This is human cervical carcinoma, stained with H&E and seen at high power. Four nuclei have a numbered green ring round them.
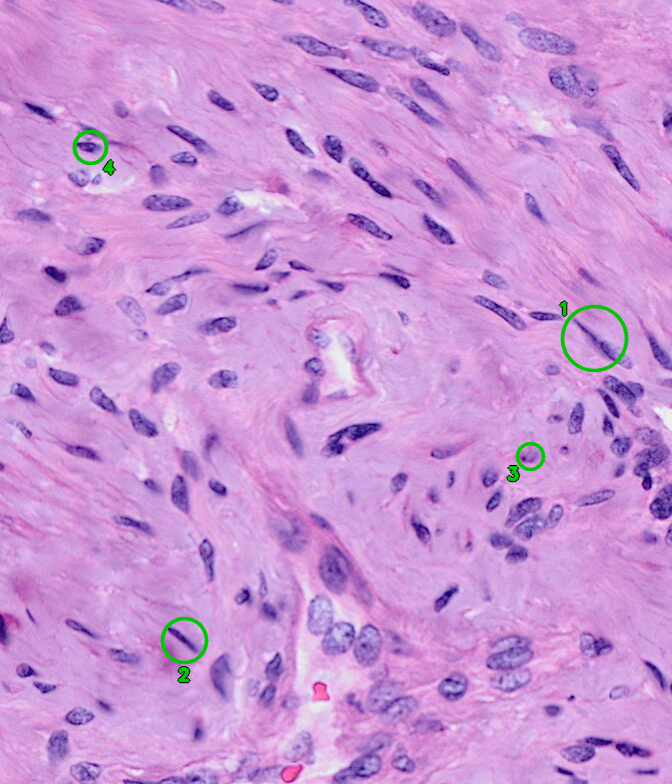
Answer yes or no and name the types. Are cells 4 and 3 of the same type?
No, cell 4 is a fibroblast and cell 3 is a smooth muscle cell.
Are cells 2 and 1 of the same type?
Yes, both are fibroblasts.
